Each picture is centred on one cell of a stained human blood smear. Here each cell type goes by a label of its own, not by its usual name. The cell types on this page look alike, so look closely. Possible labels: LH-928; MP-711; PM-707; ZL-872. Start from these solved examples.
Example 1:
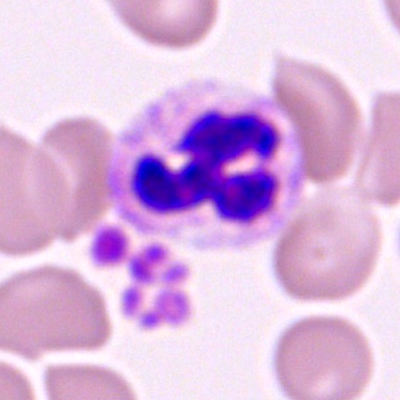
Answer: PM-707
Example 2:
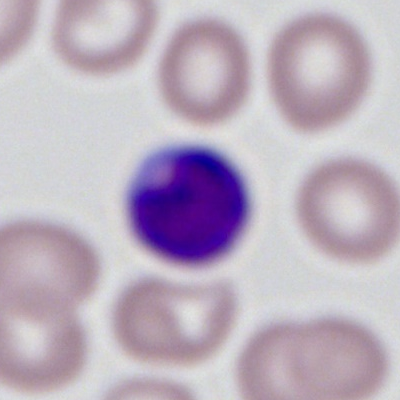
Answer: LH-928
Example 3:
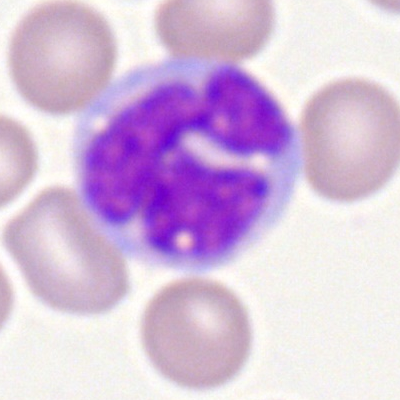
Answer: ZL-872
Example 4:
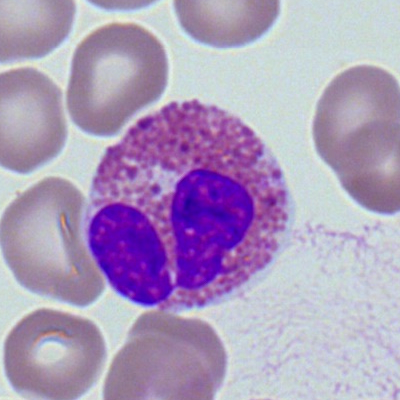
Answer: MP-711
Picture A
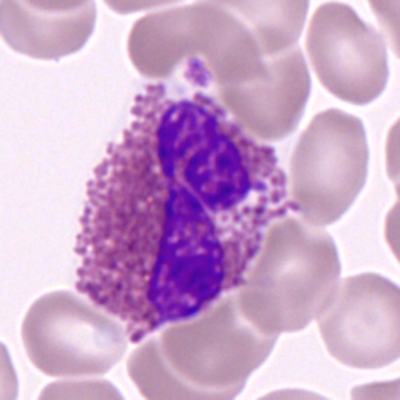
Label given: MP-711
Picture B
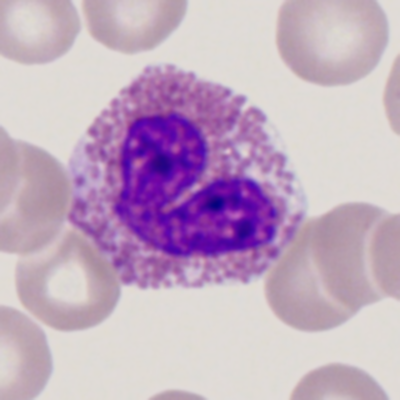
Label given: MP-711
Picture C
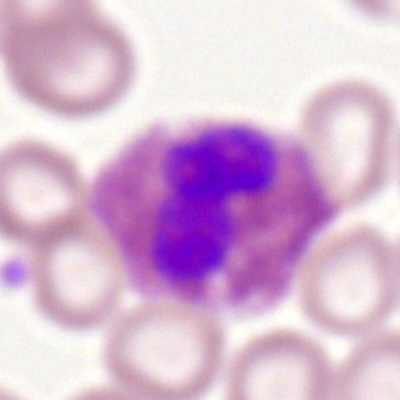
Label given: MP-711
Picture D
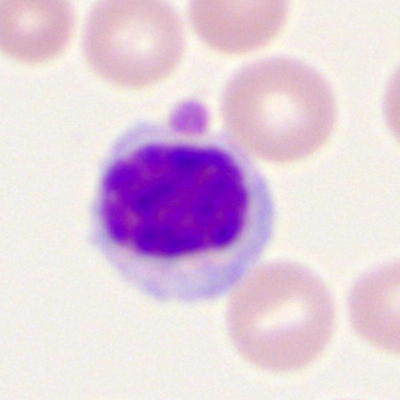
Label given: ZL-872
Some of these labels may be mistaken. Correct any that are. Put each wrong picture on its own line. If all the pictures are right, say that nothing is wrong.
Wrong: D (ZL-872); correct: LH-928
